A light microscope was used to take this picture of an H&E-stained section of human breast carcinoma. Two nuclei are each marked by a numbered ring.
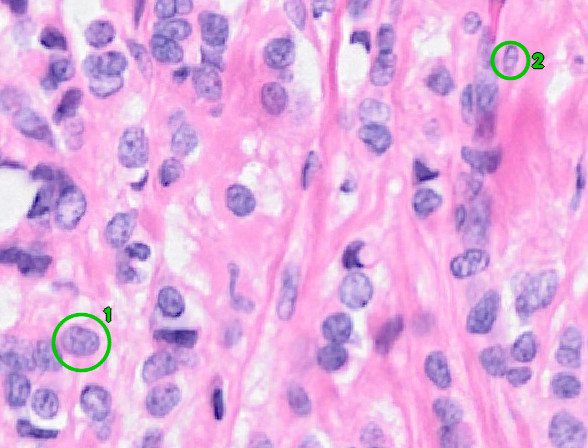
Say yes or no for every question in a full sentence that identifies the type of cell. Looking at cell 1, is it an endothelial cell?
No, the cell with number 1 is not an endothelial cell but a carcinoma cell.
